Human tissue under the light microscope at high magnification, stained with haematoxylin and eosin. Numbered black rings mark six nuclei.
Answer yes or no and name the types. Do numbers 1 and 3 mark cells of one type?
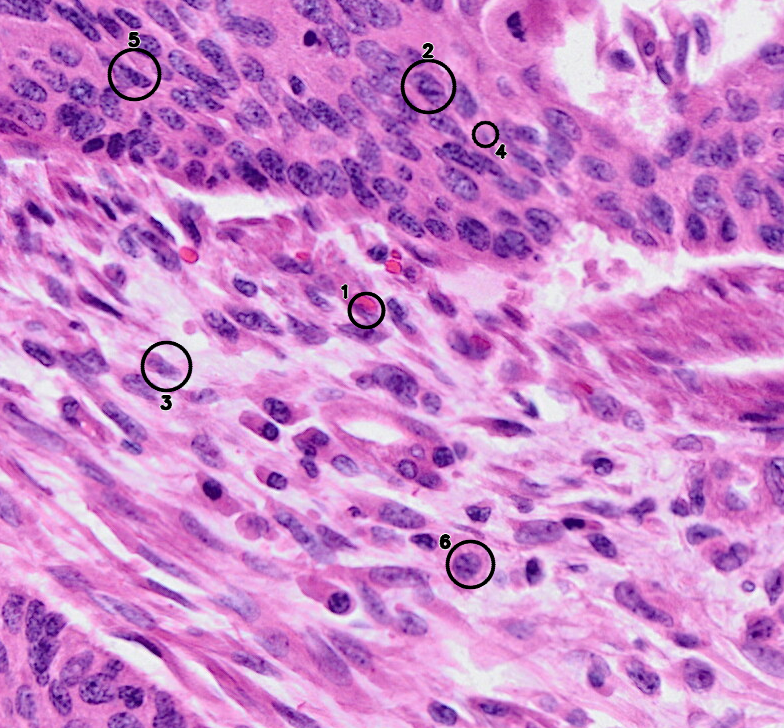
No, cell 1 is categorized as an endothelial cell, while cell 3 is categorized as a fibroblast.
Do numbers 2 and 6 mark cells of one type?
No; whereas cell 2 is a squamous carcinoma cell, cell 6 is a macrophage or monocyte.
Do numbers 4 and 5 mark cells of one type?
Yes, cells 4 and 5 are both classed as squamous carcinoma cells.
